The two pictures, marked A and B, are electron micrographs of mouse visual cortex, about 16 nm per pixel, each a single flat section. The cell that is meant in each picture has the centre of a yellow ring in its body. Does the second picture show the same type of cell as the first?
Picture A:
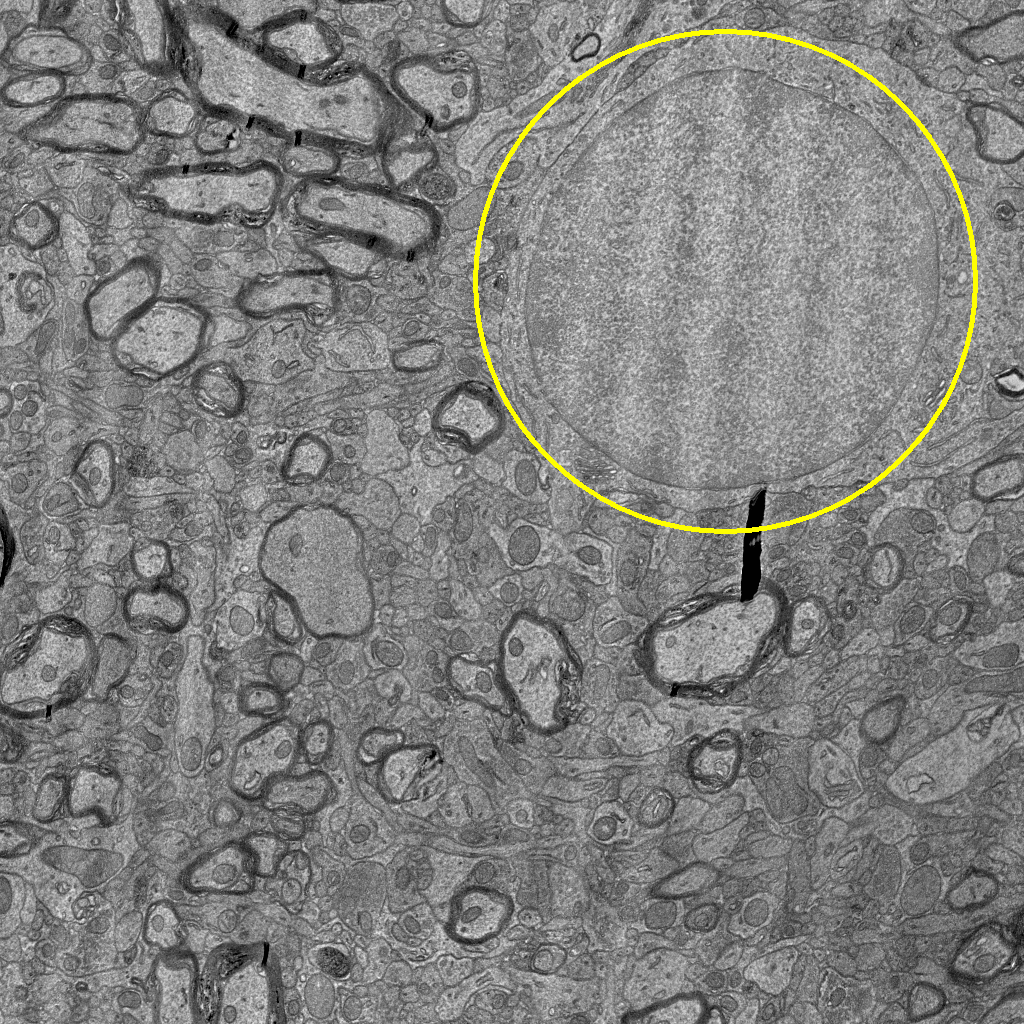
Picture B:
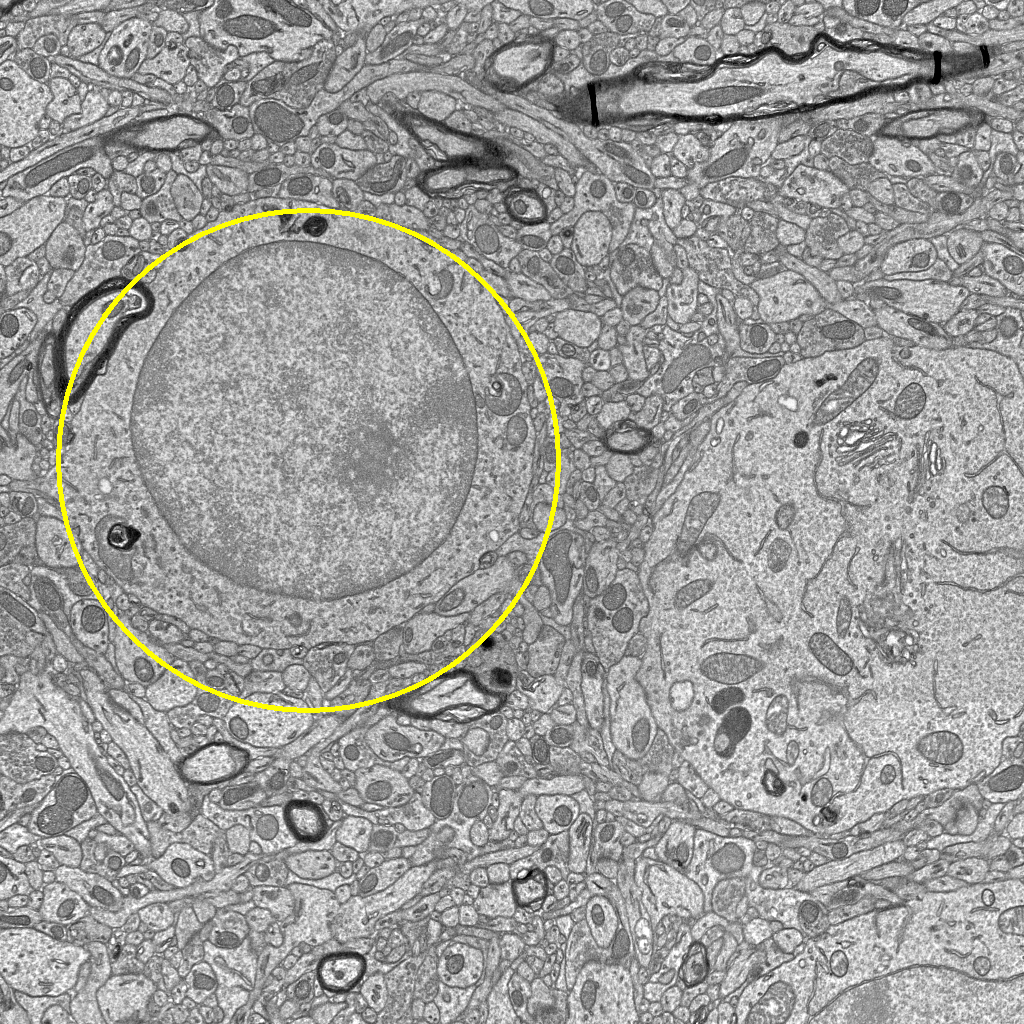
Yes, both cells are oligodendrocytes.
